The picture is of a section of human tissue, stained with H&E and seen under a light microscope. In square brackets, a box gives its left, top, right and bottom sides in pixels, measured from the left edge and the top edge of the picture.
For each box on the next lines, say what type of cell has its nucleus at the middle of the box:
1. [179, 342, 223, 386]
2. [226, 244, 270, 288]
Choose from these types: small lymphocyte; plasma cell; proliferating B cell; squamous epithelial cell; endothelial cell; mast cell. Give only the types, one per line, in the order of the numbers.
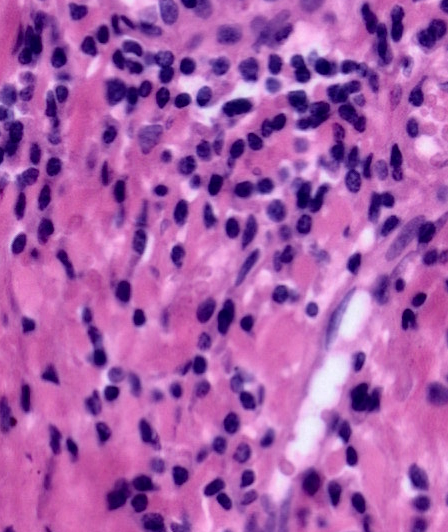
mast cell
endothelial cell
